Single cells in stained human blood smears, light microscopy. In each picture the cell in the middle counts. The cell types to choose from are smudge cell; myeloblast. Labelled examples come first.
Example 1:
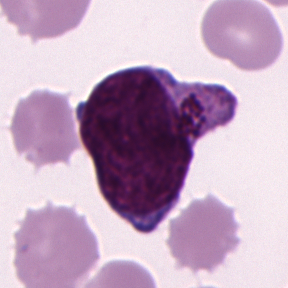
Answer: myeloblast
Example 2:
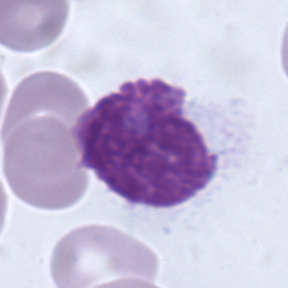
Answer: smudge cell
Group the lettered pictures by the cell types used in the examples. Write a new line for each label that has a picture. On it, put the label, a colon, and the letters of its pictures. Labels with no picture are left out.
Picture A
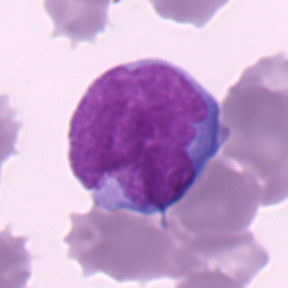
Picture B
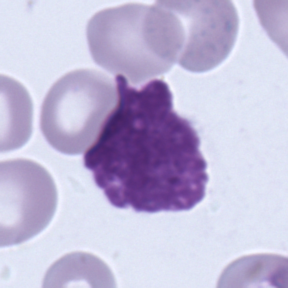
smudge cell: B
myeloblast: A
